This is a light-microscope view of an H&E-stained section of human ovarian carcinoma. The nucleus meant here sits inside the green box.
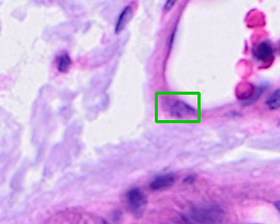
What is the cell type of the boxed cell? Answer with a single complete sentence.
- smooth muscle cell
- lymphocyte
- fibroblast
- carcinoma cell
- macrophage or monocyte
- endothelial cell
On this particular slide, the boxed cell is an endothelial cell.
